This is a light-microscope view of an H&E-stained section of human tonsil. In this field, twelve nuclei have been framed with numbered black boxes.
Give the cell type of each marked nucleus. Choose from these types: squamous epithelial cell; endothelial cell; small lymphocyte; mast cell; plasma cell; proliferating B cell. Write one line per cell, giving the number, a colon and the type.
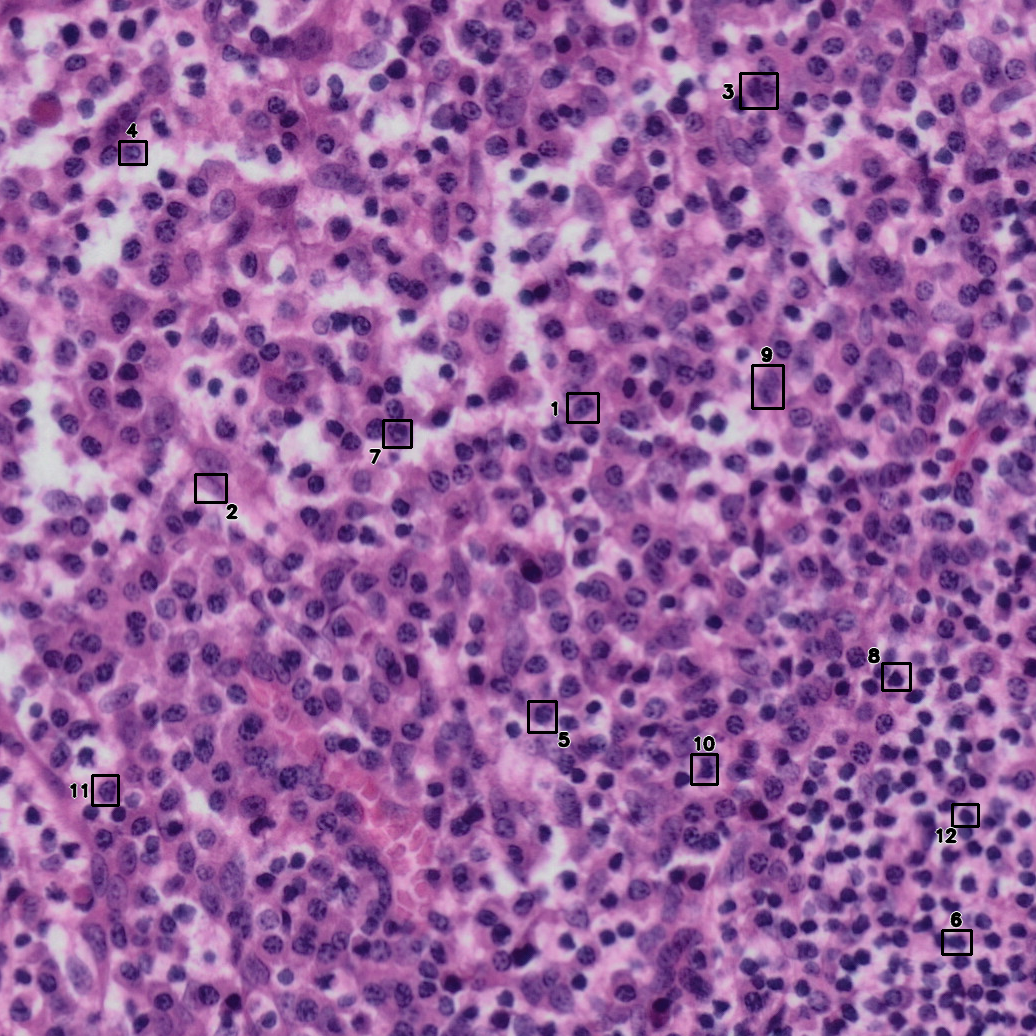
1: plasma cell
2: squamous epithelial cell
3: squamous epithelial cell
4: plasma cell
5: plasma cell
6: small lymphocyte
7: plasma cell
8: small lymphocyte
9: squamous epithelial cell
10: plasma cell
11: plasma cell
12: small lymphocyte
